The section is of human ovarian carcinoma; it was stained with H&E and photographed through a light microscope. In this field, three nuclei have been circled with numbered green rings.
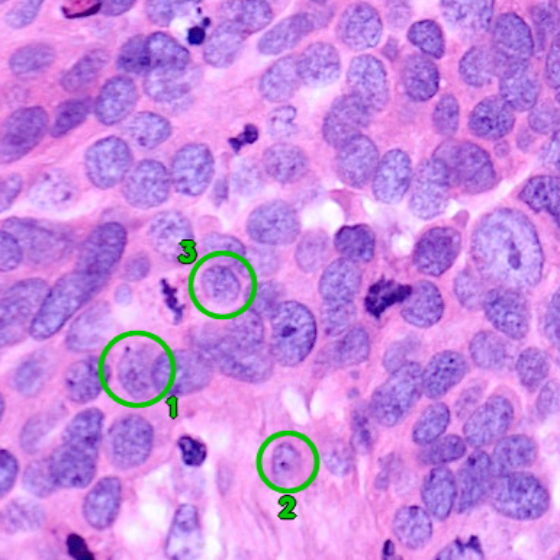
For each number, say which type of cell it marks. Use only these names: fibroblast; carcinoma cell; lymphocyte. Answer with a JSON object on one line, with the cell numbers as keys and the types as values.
{"1": "carcinoma cell", "2": "fibroblast", "3": "carcinoma cell"}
